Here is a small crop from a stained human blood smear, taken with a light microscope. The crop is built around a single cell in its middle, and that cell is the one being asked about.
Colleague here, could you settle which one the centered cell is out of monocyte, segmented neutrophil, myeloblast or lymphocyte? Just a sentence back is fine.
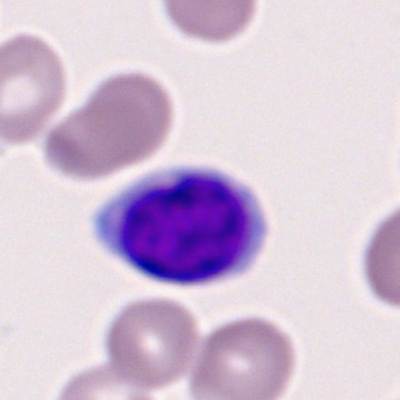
The cell in the exact centre of the crop is a lymphocyte.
